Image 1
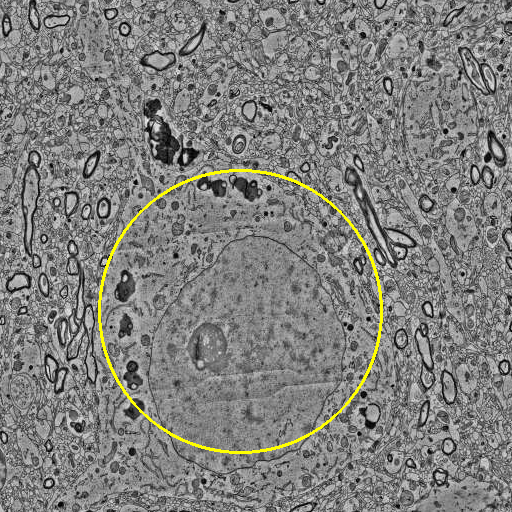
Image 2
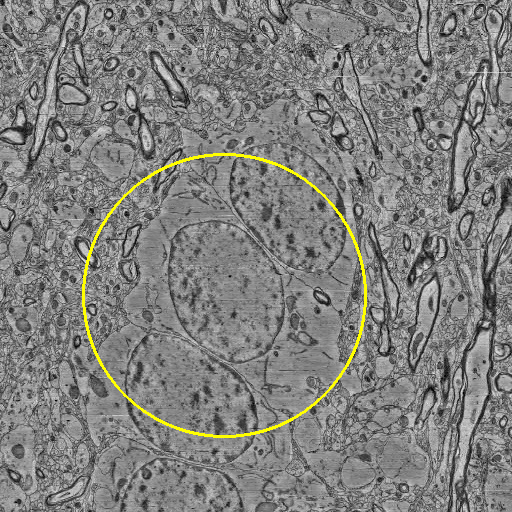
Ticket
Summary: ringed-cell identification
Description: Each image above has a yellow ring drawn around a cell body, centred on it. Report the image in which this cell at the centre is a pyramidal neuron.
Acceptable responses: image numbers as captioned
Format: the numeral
1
